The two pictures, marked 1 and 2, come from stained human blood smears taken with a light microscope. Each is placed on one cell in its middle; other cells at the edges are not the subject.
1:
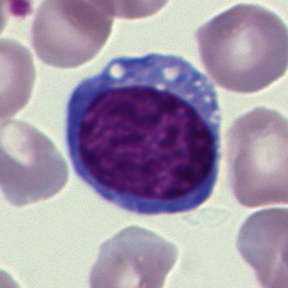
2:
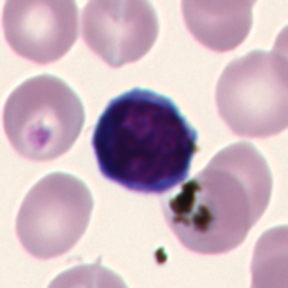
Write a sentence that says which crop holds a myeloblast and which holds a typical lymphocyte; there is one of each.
Crop 1 features a myeloblast, and crop 2 features a typical lymphocyte.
